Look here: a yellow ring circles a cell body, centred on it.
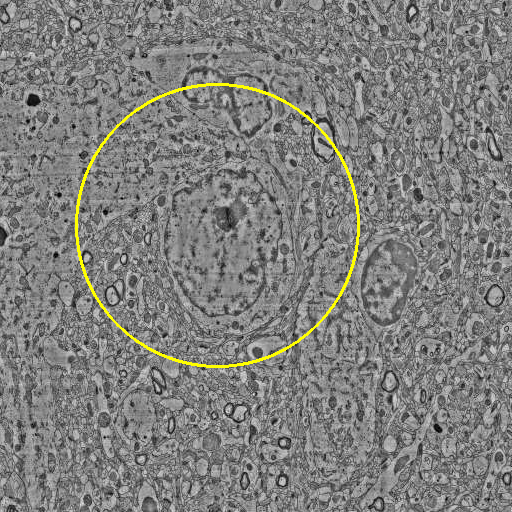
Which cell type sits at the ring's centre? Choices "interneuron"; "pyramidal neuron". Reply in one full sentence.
The cell at the centre of the yellow ring in the picture is an interneuron.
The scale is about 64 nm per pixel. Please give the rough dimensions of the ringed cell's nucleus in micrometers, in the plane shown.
The nucleus has a long axis of about 9 micrometres and a short axis of about 7 micrometres in this plane.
